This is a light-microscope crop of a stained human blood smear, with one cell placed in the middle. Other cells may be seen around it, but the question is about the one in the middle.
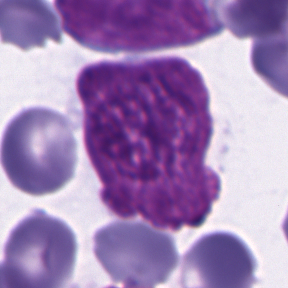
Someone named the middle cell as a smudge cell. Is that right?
yes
